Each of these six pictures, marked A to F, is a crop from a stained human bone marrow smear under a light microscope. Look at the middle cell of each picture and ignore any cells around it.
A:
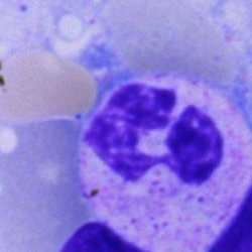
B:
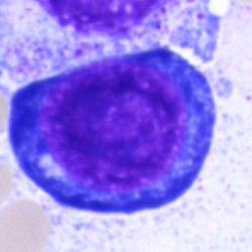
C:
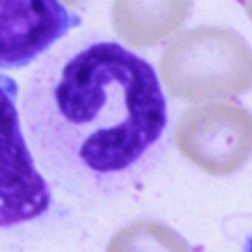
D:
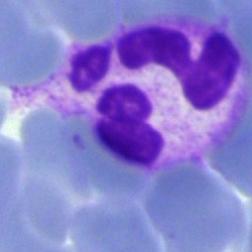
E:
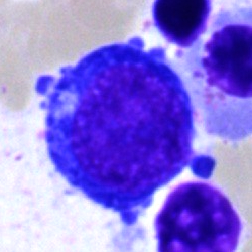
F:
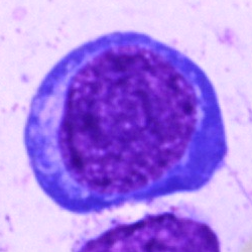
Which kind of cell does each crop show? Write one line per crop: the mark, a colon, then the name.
A: segmented neutrophil
B: proerythroblast
C: band neutrophil
D: segmented neutrophil
E: proerythroblast
F: proerythroblast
